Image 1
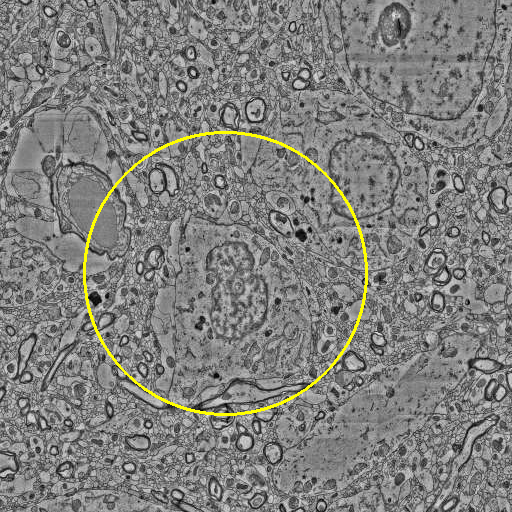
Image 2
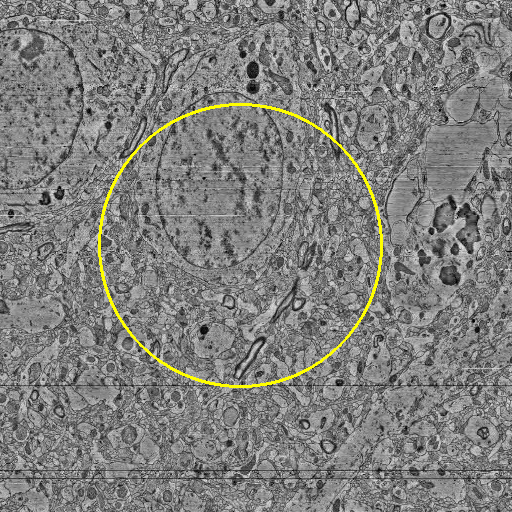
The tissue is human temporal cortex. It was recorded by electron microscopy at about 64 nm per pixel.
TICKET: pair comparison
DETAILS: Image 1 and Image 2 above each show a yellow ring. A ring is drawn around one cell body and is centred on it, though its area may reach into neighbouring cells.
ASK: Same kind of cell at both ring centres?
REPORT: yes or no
yes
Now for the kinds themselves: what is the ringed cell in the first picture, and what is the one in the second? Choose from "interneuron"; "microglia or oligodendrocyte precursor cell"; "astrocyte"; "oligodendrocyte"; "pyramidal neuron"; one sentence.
In each of the two pictures, the ringed cell is a pyramidal neuron.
